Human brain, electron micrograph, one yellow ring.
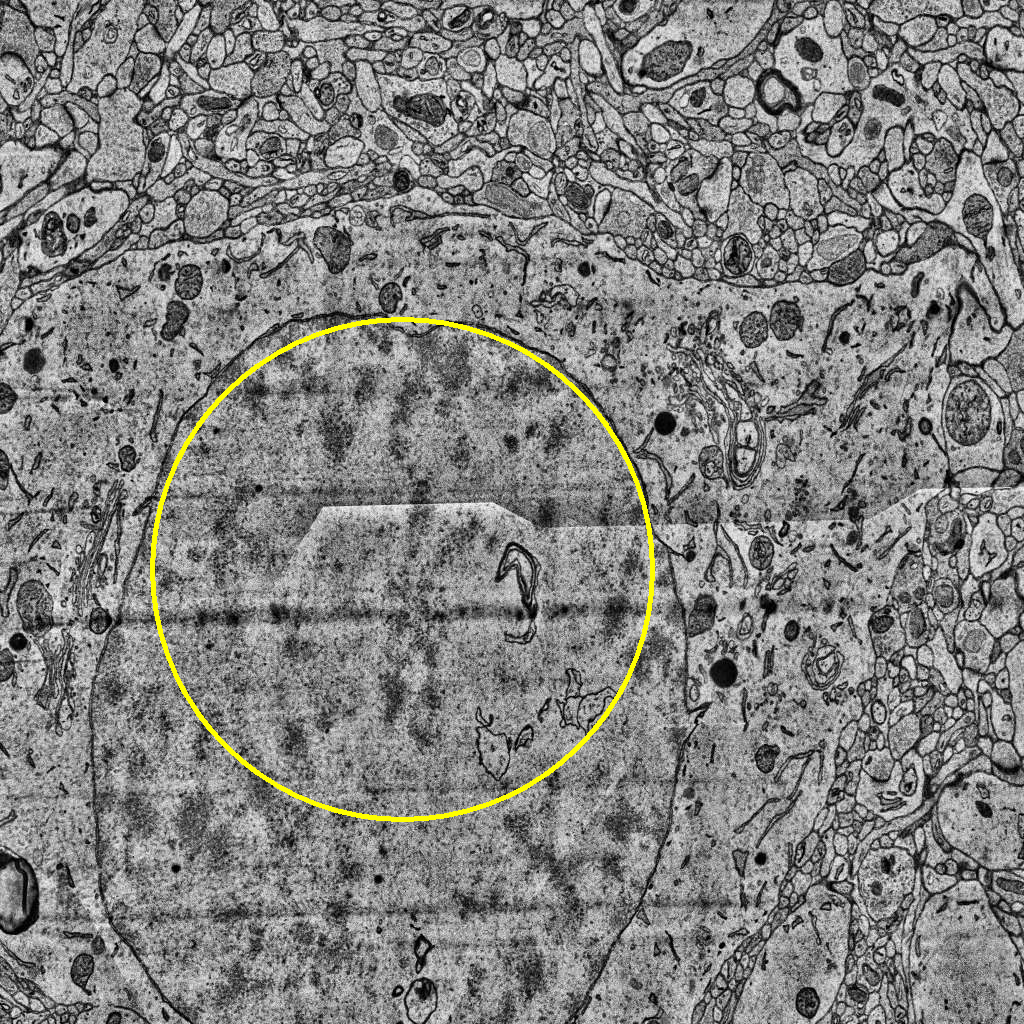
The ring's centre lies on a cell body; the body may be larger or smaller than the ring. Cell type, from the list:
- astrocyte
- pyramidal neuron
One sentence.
The yellow ring's centre lies on a pyramidal neuron.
